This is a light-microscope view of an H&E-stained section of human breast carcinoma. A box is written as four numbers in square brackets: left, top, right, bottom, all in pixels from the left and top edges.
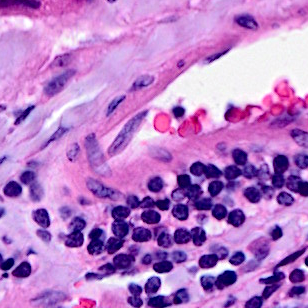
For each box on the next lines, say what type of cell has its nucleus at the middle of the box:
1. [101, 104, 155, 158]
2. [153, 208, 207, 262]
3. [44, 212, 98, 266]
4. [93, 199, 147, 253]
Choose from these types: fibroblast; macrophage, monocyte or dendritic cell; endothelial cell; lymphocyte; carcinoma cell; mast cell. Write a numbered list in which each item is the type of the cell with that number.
1. endothelial cell
2. lymphocyte
3. lymphocyte
4. lymphocyte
